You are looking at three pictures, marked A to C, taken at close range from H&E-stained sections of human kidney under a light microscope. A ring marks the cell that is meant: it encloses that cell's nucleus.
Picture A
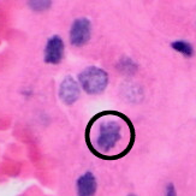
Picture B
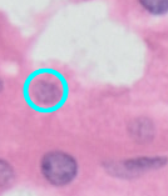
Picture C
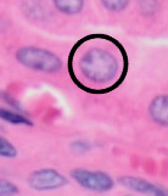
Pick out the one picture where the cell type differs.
A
